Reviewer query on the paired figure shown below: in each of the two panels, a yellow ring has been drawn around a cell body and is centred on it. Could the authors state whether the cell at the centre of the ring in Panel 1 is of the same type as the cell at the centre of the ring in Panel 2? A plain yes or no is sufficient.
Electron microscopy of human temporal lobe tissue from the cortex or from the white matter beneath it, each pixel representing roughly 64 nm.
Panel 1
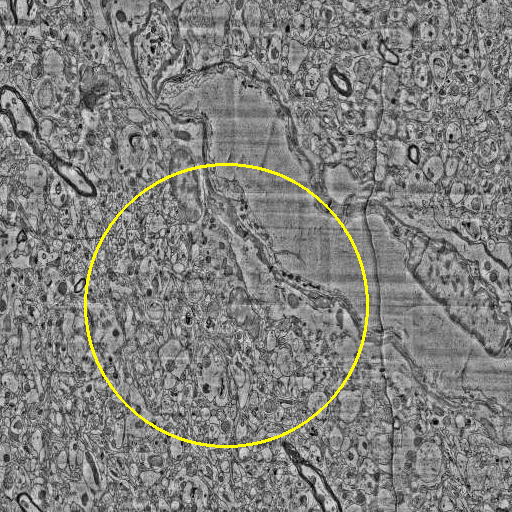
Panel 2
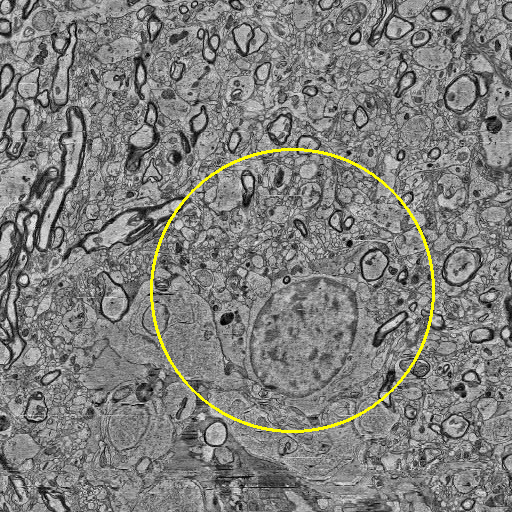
yes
